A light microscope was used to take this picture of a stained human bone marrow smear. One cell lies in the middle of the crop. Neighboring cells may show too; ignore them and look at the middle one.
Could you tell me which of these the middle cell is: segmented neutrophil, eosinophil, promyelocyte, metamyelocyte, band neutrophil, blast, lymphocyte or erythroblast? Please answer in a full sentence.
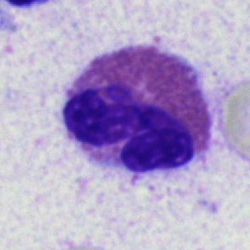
The target cell in the middle of the crop is an eosinophil.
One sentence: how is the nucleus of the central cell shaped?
Kindly observe that the nucleus forms two or more lobes.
